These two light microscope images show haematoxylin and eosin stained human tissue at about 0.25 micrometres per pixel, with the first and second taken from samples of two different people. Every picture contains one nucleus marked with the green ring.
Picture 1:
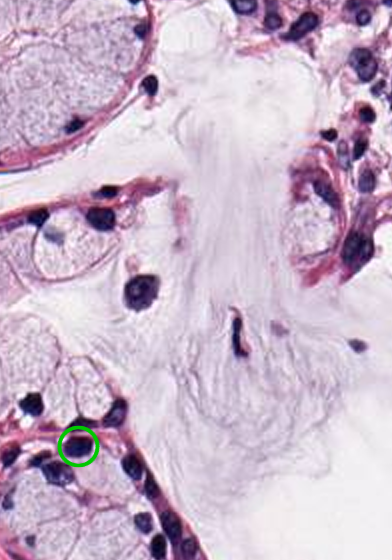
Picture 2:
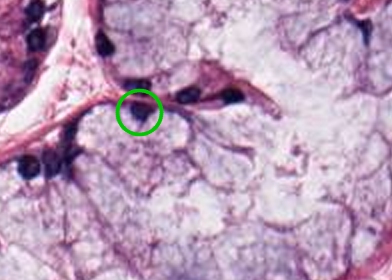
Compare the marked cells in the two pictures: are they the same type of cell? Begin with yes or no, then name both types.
Yes, both are mucous gland cells.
